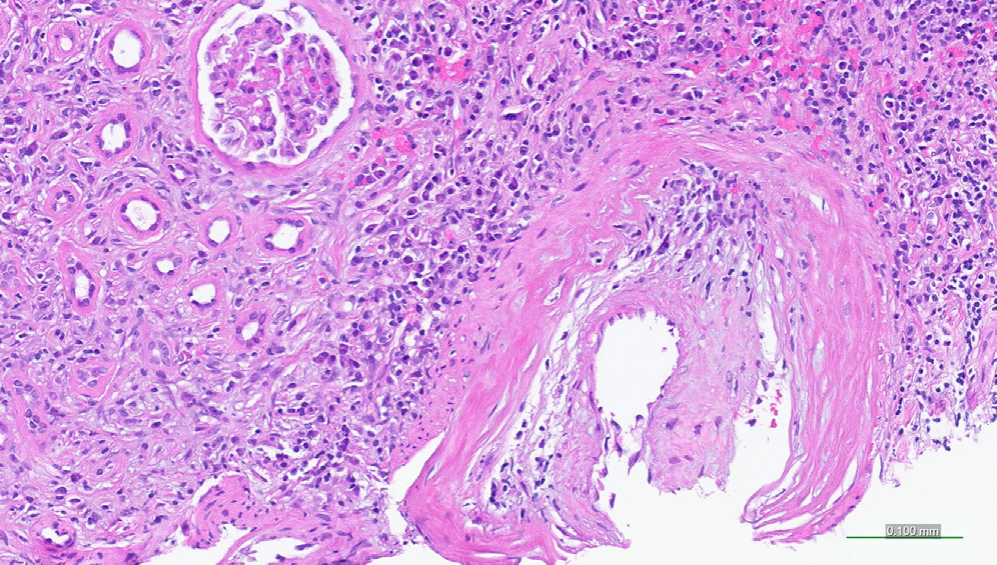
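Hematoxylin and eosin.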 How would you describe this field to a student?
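Kidney tissue with a glomerulus at the upper left and small tubules set in cellular, fibrous interstitium on the left. The centre and upper right are crowded with round inflammatory cells with dark round nuclei, many with pink cytoplasm to one side, typical of plasma cells mixed with smaller mononuclear cells. In the lower centre-right, an artery with a thick wall of wavy pink fibres curves around a small open lumen. Its inner layer is thickened by loose pale tissue that holds scattered inflammatory cells. No smudgy bright pink necrotic material is seen in the wall. This is plasma cell arteritis beside plasma cell rich interstitial inflammation.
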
